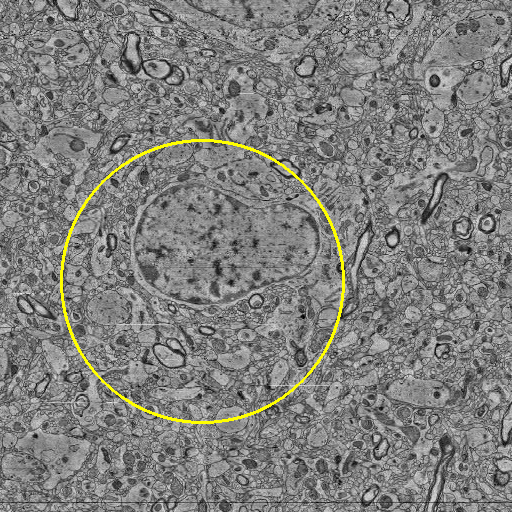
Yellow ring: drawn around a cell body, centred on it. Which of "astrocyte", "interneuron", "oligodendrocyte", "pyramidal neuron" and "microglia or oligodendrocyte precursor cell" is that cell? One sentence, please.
That cell body is from a microglial cell or oligodendrocyte precursor cell.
